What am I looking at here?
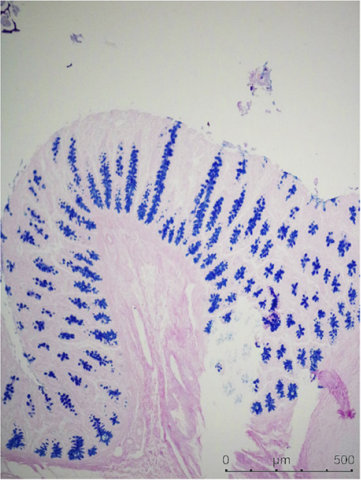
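This section of colon mucosa shows crypts cut along their length, with goblet cells marked by dark blue staining of their mucus. The goblet cells appear as rounded blue bodies stacked in rows along each crypt, from its base toward the surface. The remaining epithelium, lamina propria and submucosa stay pale pink, so the crypts stand out as columns of blue dots radiating around the curved wall.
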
